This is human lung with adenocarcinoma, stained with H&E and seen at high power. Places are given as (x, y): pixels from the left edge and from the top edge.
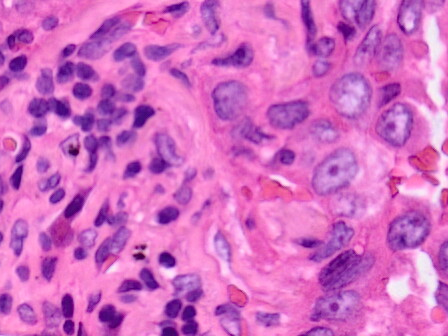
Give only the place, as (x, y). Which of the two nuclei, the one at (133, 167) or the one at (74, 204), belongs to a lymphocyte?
(133, 167)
